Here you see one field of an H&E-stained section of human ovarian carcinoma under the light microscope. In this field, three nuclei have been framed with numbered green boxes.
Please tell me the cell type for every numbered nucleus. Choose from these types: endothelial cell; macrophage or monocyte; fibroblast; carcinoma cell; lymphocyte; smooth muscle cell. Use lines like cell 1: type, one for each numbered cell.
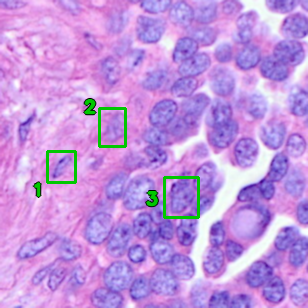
cell 1: fibroblast
cell 2: fibroblast
cell 3: carcinoma cell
